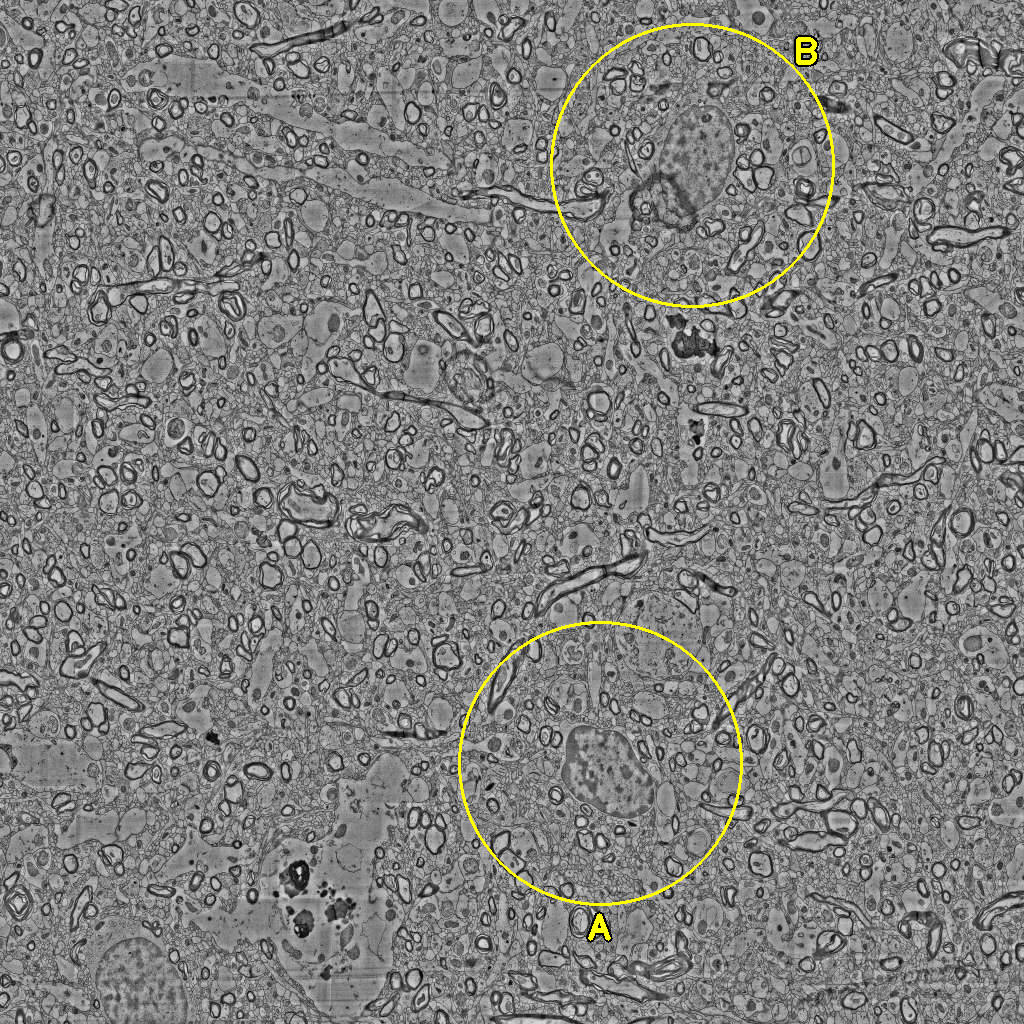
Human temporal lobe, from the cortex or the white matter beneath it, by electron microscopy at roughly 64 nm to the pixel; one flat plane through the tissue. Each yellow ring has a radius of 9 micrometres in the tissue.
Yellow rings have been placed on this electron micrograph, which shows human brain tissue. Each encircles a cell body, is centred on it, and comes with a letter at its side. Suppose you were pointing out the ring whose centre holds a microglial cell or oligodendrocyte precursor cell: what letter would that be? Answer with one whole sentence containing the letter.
The ring I would point to, centred on the cell in question, is A.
